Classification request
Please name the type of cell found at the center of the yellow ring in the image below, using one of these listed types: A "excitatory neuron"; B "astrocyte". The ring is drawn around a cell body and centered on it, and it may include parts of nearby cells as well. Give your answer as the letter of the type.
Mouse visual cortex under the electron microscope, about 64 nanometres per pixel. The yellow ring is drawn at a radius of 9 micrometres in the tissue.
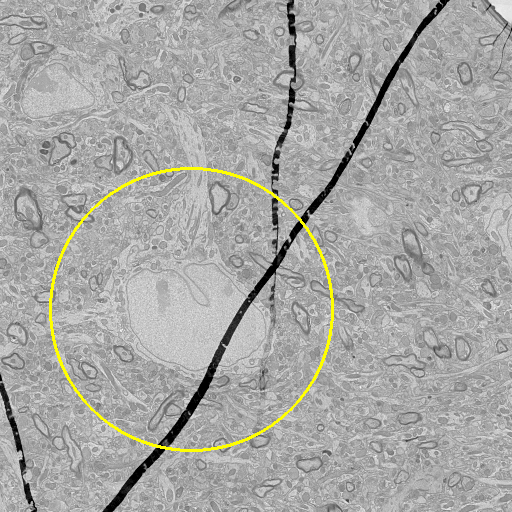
A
